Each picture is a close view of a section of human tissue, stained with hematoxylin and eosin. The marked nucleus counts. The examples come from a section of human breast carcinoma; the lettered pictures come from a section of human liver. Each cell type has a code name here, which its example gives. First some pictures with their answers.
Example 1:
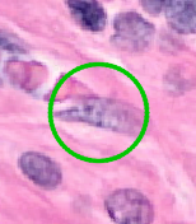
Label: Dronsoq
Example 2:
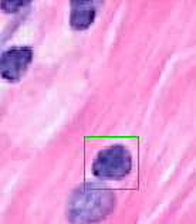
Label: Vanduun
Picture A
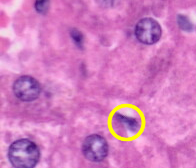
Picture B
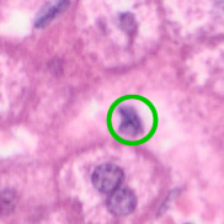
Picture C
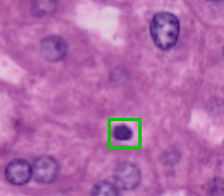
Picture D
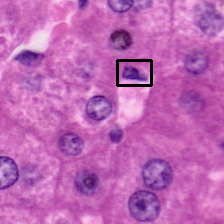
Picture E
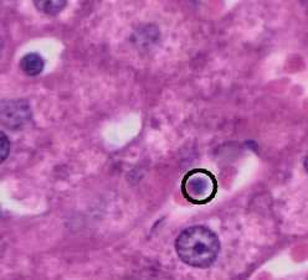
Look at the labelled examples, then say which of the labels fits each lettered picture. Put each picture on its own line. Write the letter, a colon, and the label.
A: Dronsoq
B: Dronsoq
C: Vanduun
D: Dronsoq
E: Vanduun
